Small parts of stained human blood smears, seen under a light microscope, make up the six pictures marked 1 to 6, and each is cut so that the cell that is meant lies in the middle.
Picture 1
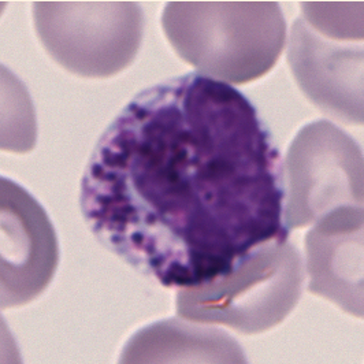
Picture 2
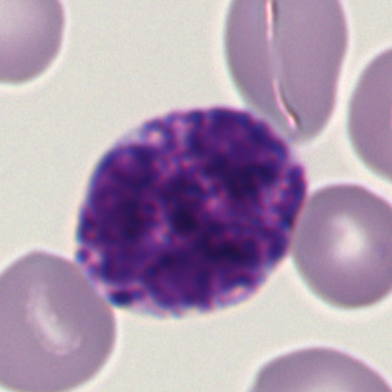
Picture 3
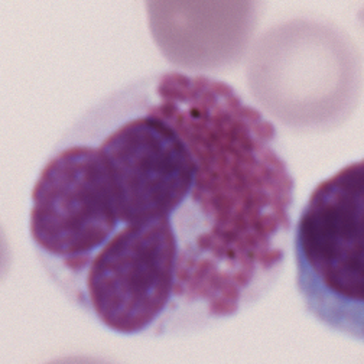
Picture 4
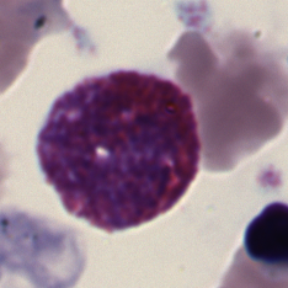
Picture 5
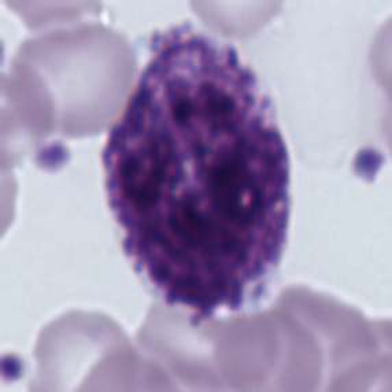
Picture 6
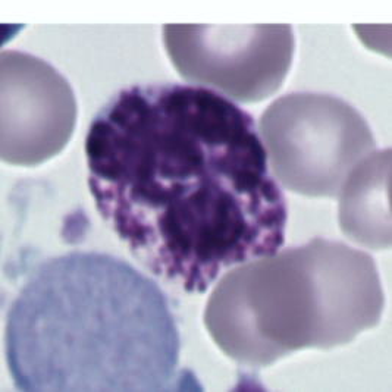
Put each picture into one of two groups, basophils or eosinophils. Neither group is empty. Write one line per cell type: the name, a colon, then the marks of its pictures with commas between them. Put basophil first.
basophil: 1, 2, 5, 6
eosinophil: 3, 4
